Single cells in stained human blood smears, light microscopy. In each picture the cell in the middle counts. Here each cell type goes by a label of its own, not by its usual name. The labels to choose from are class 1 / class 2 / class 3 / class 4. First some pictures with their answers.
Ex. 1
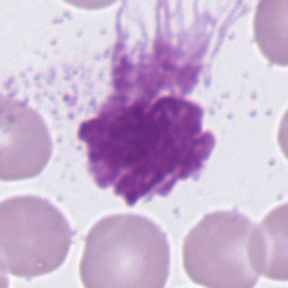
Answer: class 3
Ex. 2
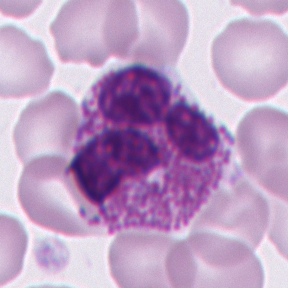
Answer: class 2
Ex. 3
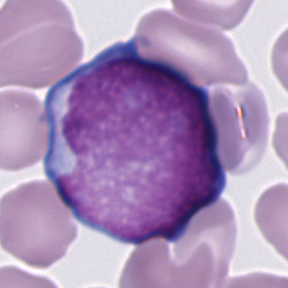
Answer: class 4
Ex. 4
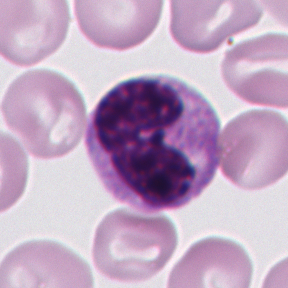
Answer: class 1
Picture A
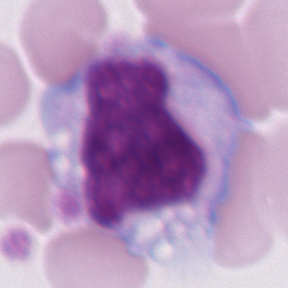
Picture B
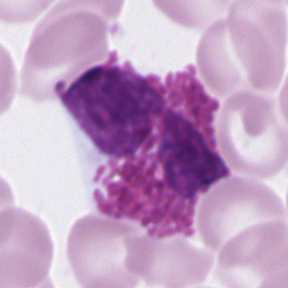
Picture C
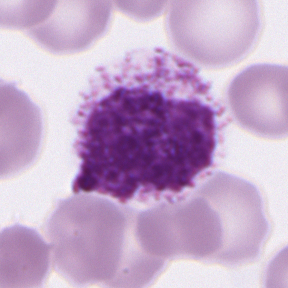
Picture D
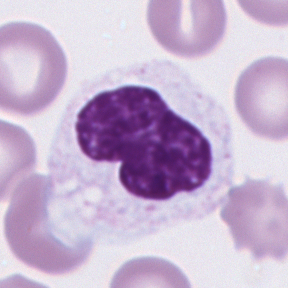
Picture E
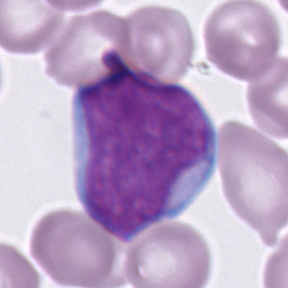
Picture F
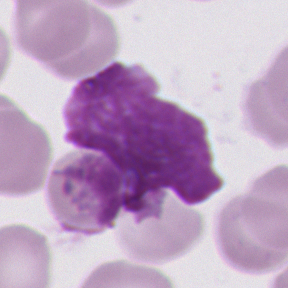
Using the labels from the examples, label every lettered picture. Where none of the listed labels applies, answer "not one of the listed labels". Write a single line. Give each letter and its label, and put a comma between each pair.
A not one of the listed labels, B class 2, C class 1, D class 1, E class 4, F class 3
